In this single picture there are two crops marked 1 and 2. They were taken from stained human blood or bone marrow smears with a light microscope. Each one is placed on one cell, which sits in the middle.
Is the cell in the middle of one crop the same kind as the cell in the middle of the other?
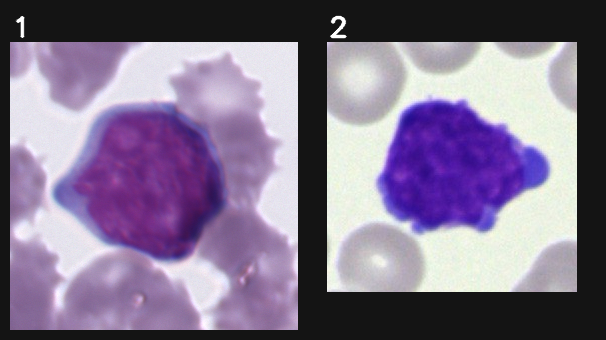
yes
